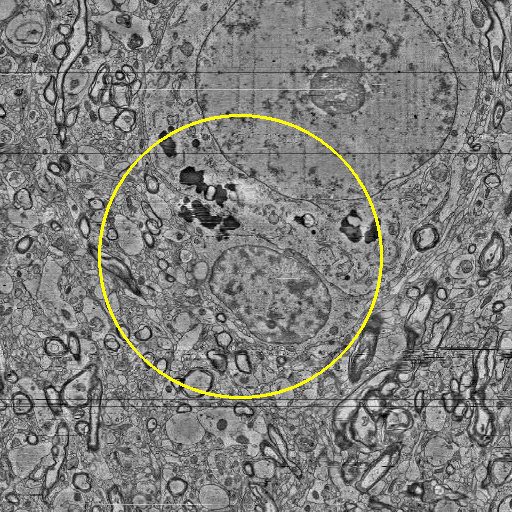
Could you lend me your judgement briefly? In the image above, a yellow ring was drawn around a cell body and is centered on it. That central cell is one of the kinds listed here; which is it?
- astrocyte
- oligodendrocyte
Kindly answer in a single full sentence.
Going by the list, an oligodendrocyte is the kind at the ring's center in the picture.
